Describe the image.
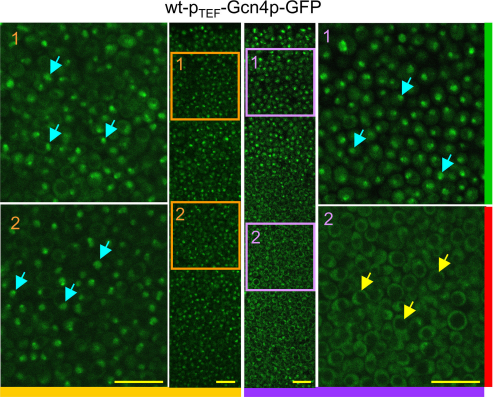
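Densely packed round cells of a colony cross section are shown in green fluorescence, with enlarged fields beside narrow overview strips. In the left fields and in the upper right field most cells hold one small, bright green round dot, the nucleus, within fainter green cytoplasm. In the lower right field many cells contain a large dark round vacuole that leaves only a thin green rim of cytoplasm.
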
